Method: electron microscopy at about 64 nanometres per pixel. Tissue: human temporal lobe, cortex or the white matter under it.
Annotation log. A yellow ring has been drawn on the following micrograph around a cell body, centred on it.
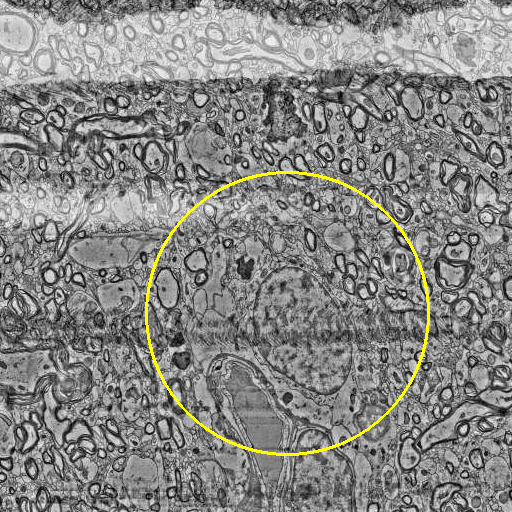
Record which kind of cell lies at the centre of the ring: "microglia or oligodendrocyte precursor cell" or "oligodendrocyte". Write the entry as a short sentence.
The cell the ring is centred on is a microglial cell or oligodendrocyte precursor cell.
